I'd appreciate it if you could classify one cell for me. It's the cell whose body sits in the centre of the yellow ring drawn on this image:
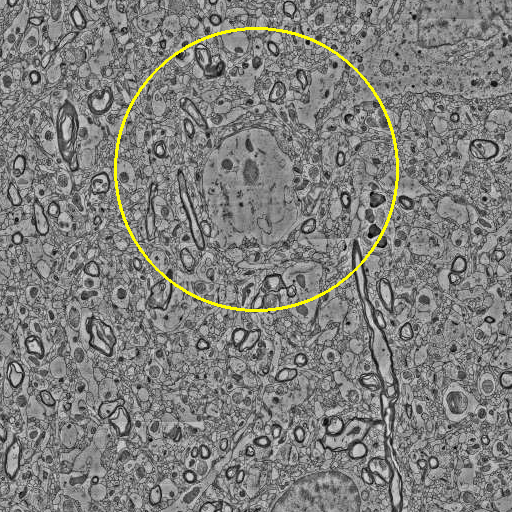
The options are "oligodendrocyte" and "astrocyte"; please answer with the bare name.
astrocyte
